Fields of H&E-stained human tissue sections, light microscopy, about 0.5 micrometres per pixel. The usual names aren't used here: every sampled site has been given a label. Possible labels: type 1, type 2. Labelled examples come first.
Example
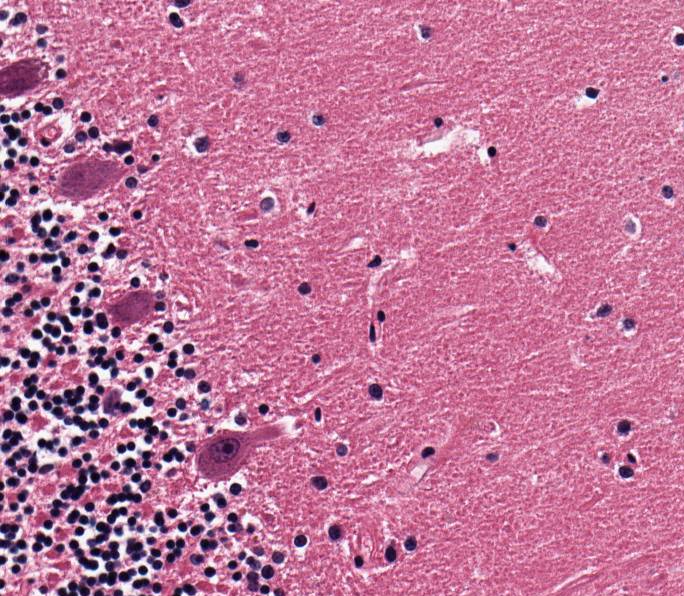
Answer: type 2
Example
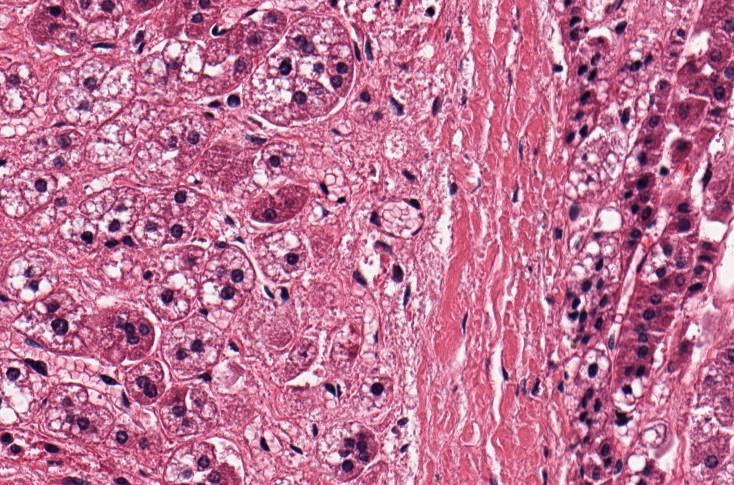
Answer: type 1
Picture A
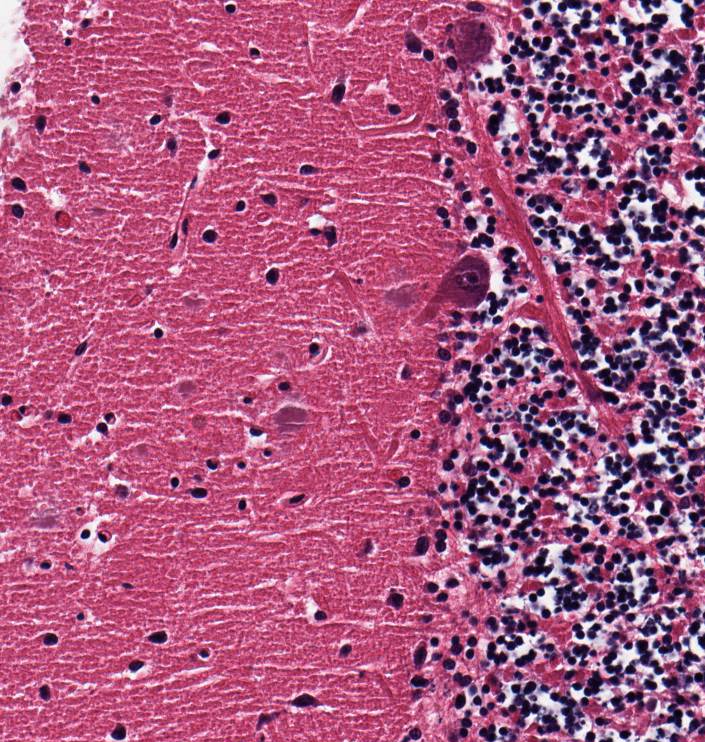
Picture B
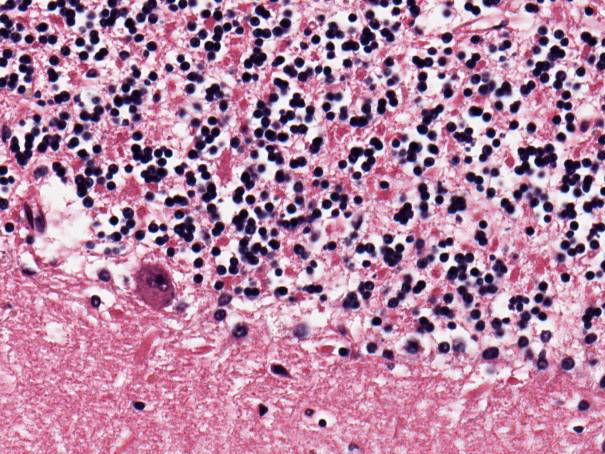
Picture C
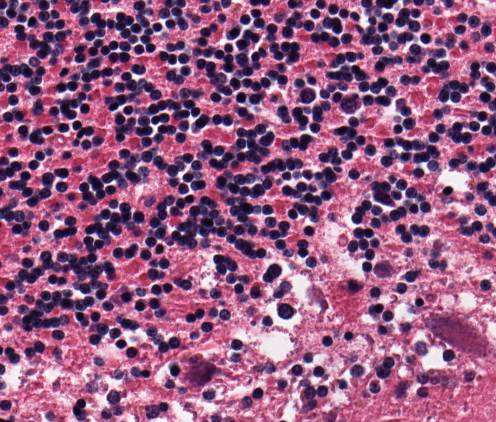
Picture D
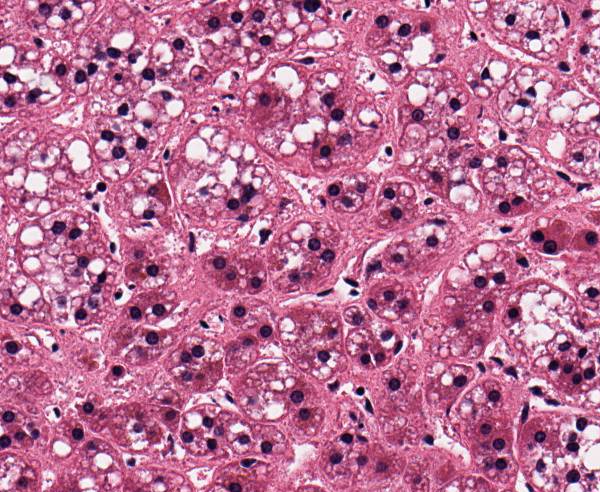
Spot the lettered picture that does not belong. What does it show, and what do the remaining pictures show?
D (type 1) is the exception; every other picture is type 2.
